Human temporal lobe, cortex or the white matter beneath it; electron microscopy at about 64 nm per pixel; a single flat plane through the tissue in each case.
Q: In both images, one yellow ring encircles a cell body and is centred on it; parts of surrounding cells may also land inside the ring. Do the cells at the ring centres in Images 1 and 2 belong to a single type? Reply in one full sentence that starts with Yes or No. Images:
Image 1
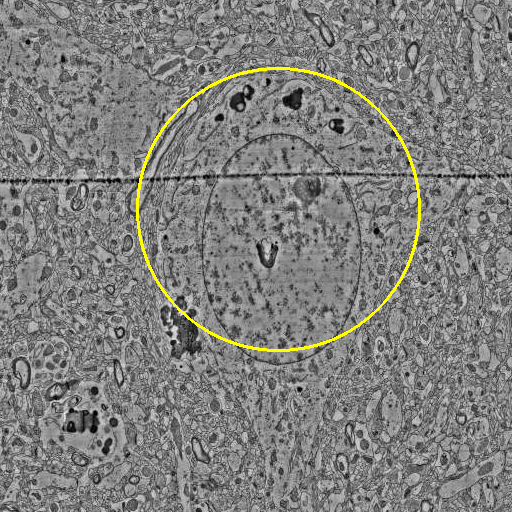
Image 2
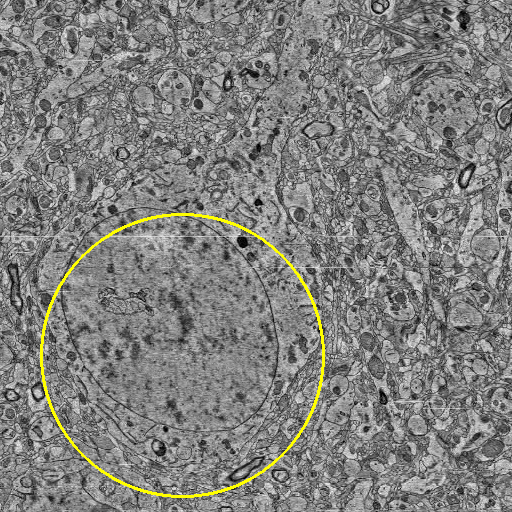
Yes, the cells at the ring centres in Images 1 and 2 are of a single type.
